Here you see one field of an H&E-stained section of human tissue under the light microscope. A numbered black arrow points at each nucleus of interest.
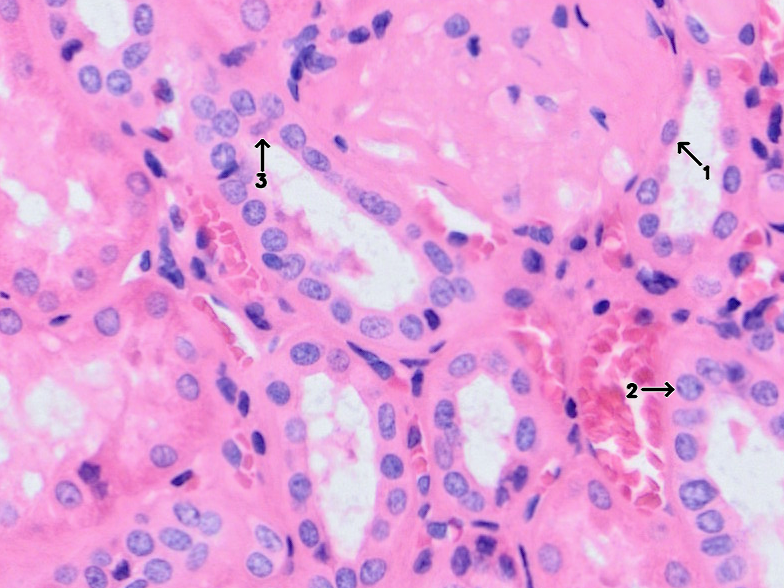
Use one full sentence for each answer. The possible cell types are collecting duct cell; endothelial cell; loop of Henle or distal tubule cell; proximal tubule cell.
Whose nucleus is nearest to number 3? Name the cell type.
Number 3 lies closest to the nucleus of a collecting duct cell.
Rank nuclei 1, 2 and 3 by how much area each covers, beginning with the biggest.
By area, largest first, they run 2, 1, 3.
